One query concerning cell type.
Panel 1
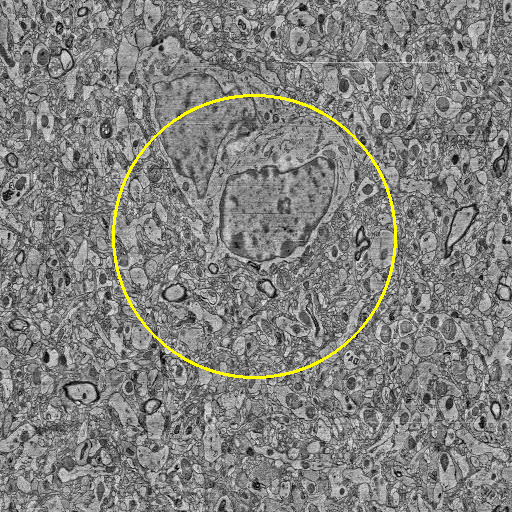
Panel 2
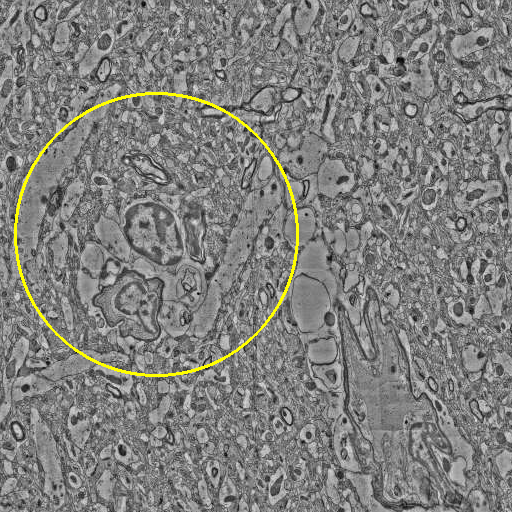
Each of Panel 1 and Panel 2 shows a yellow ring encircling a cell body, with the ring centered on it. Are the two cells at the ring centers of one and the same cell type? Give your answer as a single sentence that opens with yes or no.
Yes, the cell centered in Panel 1 and the one in Panel 2 share a type.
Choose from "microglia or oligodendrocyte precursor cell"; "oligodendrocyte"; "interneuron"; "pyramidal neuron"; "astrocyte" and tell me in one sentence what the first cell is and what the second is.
Both pictures show a microglial cell or oligodendrocyte precursor cell at the centre of the ring.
